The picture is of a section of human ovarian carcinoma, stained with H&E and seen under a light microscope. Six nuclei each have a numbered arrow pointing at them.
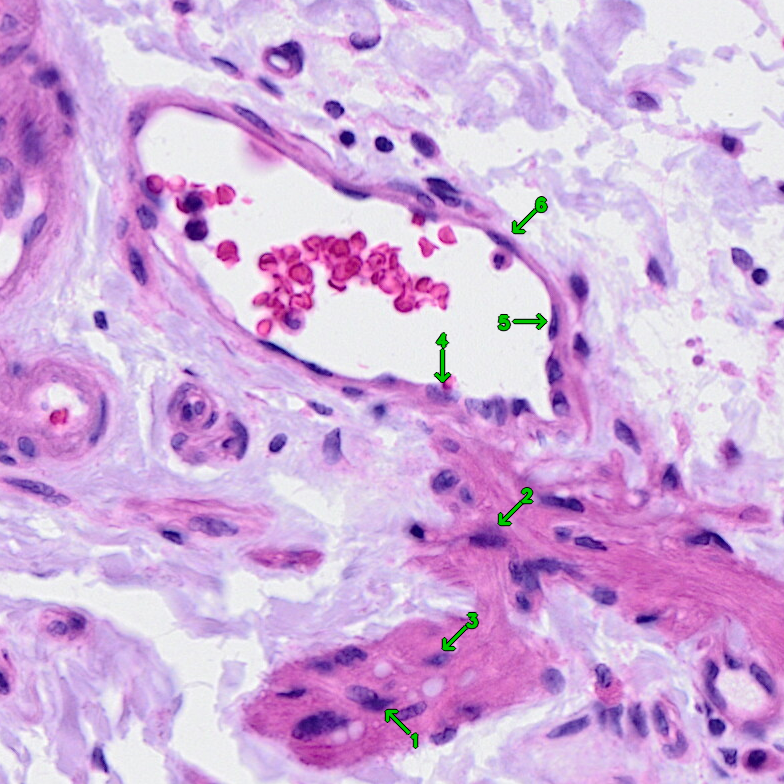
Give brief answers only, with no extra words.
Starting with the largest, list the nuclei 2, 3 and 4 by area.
2, 4, 3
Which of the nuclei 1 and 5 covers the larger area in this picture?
1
